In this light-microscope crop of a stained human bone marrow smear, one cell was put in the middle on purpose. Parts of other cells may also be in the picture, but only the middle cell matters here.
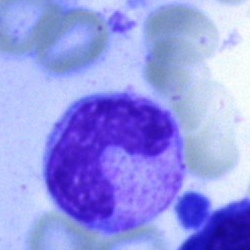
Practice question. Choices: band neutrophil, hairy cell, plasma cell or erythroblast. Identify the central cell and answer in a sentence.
The cell of interest, in the center, is a band neutrophil.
